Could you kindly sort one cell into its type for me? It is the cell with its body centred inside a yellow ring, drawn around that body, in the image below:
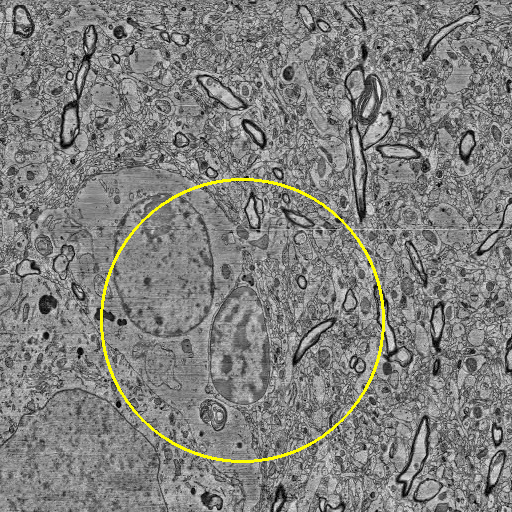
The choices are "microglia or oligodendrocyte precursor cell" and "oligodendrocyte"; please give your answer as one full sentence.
The cell whose body lies centred in the yellow ring here is a microglial cell or oligodendrocyte precursor cell.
